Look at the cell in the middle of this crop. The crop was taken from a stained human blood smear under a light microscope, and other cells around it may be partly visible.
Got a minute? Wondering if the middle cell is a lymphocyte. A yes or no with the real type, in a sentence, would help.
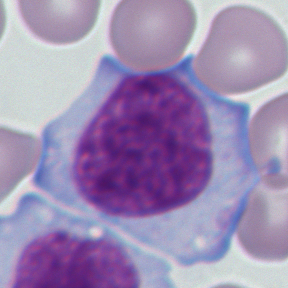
No, the cell of interest here is a blast and not a lymphocyte.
